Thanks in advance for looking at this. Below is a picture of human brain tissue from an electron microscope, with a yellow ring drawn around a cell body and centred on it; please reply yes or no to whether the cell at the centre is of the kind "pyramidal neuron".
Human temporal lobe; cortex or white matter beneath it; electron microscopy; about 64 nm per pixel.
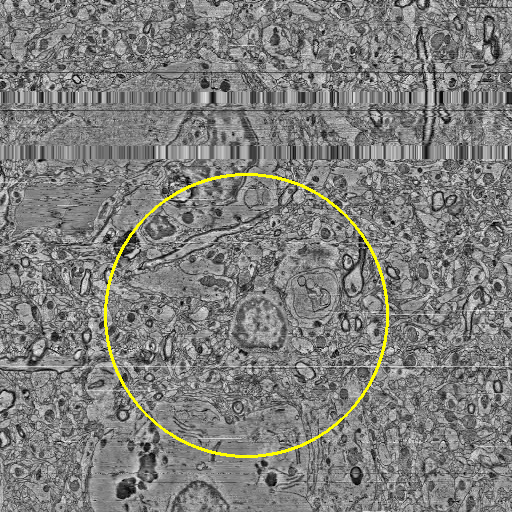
no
